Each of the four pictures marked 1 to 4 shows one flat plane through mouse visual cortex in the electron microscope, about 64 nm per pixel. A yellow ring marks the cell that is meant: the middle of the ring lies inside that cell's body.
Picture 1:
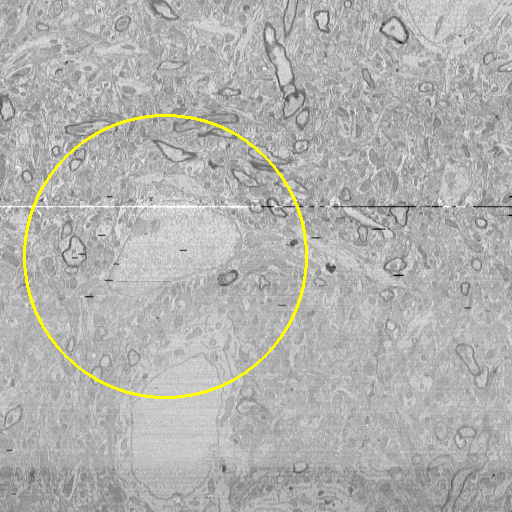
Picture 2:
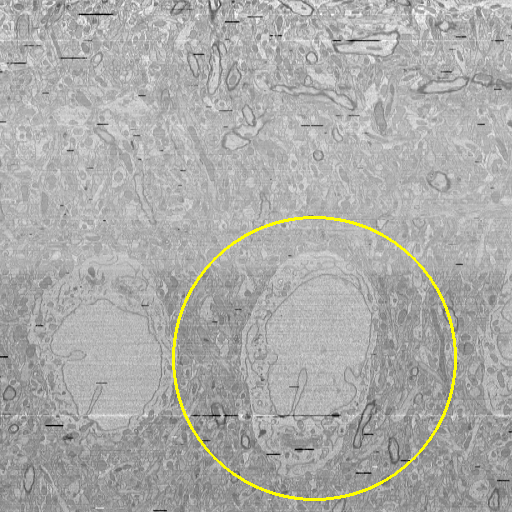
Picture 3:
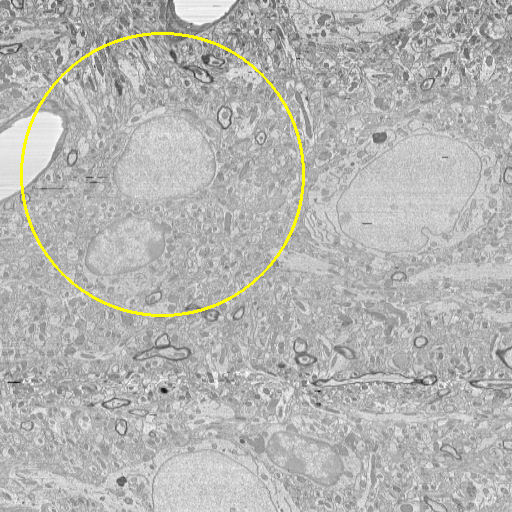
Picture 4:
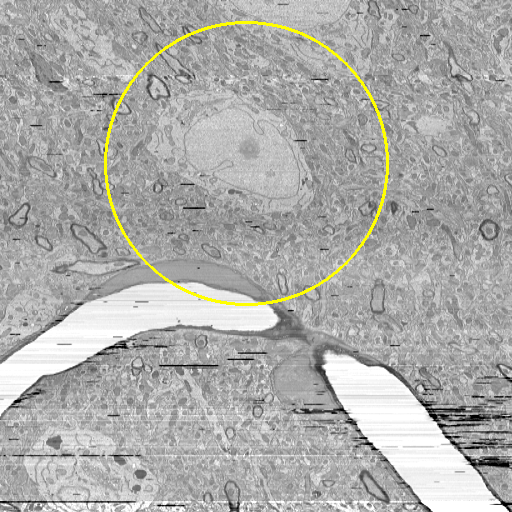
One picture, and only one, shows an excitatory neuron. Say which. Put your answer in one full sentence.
The excitatory neuron is the one in picture 4.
